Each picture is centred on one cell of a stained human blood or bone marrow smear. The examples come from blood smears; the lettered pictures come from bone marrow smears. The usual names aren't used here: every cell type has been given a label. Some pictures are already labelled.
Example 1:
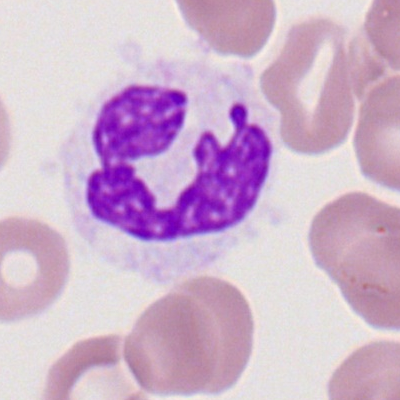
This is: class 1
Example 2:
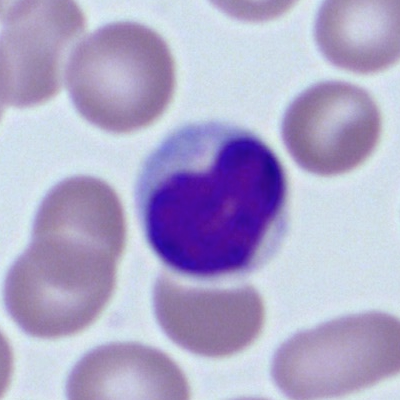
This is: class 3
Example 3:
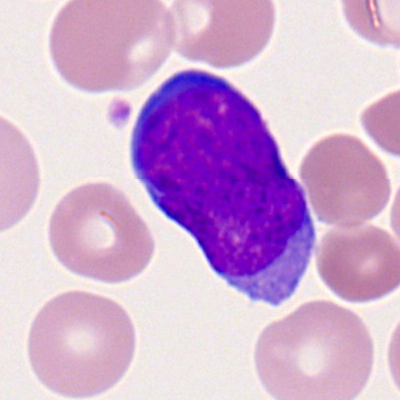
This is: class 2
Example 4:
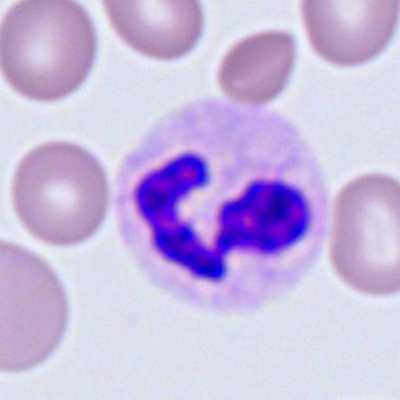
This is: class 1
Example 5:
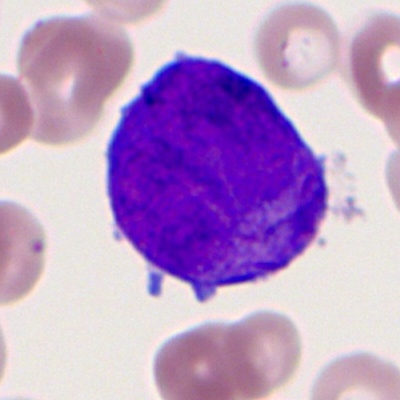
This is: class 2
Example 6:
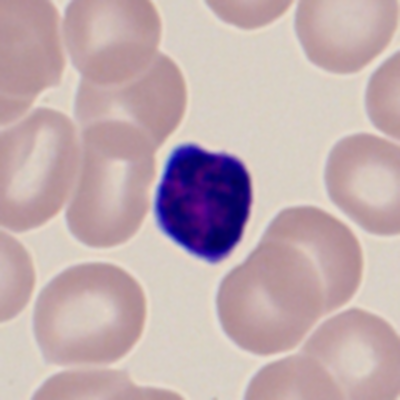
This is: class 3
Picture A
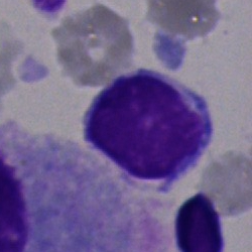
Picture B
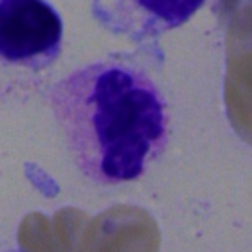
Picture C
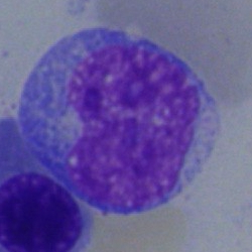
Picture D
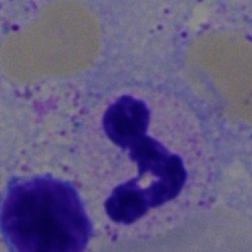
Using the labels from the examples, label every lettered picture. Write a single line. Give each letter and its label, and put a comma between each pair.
A class 3, B class 1, C class 2, D class 1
